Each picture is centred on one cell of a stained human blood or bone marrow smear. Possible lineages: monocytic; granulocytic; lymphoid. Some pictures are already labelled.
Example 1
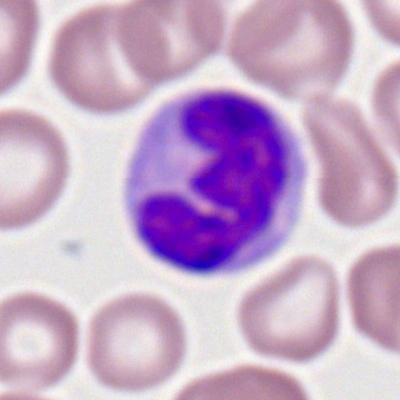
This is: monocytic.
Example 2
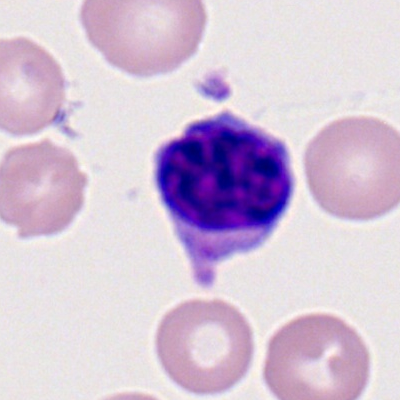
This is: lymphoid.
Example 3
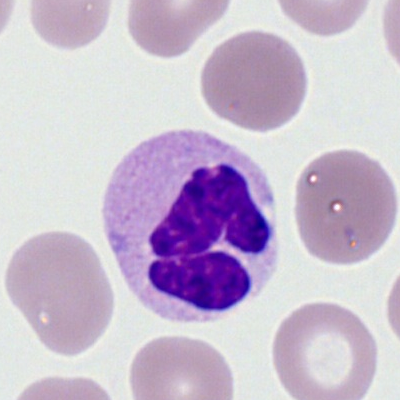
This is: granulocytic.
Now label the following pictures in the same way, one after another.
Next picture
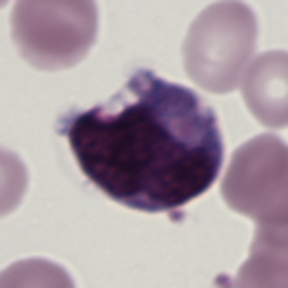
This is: monocytic.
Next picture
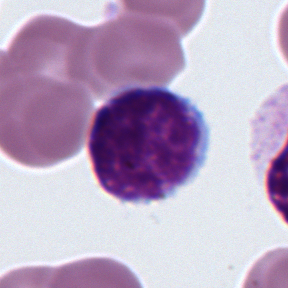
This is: lymphoid.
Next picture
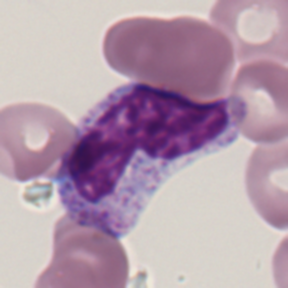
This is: granulocytic.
